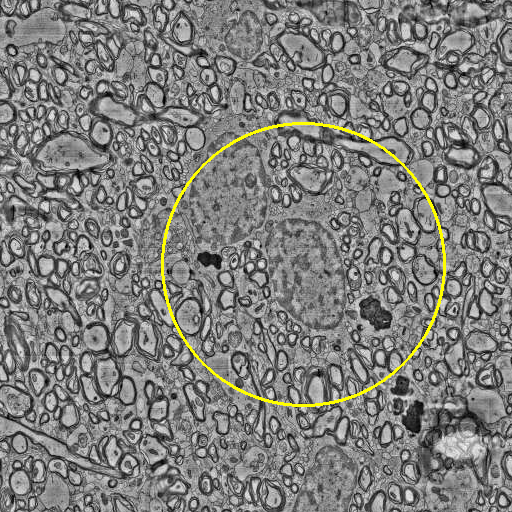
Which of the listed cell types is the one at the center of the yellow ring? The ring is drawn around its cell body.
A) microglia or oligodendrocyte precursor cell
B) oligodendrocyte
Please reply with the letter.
B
